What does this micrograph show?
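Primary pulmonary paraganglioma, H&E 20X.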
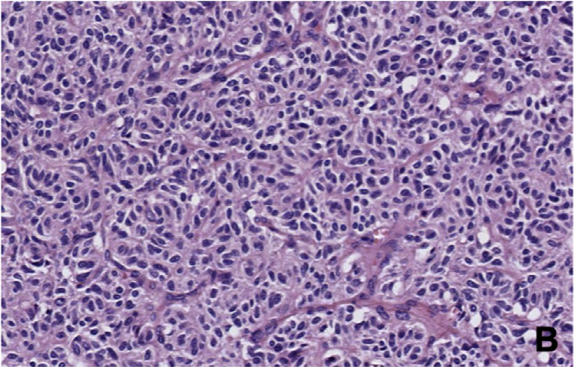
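A neoplastic lesion is made of sheets of closely packed cells grouped into solid nests, with round to oval dark purple nuclei and pale pink cytoplasm. Thin pink strands run between the nests, and along them lie elongated cells with spindle-shaped nuclei and eosinophilic cytoplasm. The tumour nuclei look fairly uniform, without marked variation in size or obvious mitotic figures. These elongated cells at the edges of the nests are sustentacular cells wrapping nests of neoplastic cells with neuroendocrine nuclear characteristics.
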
